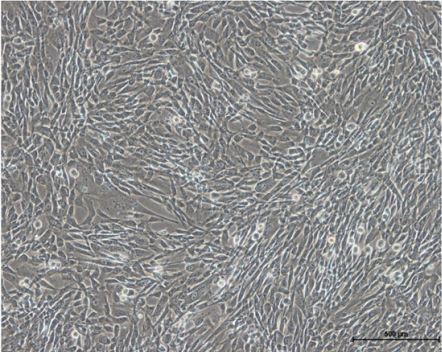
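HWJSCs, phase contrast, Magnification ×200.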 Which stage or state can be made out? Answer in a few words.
Short fibroblast-like phenotype.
